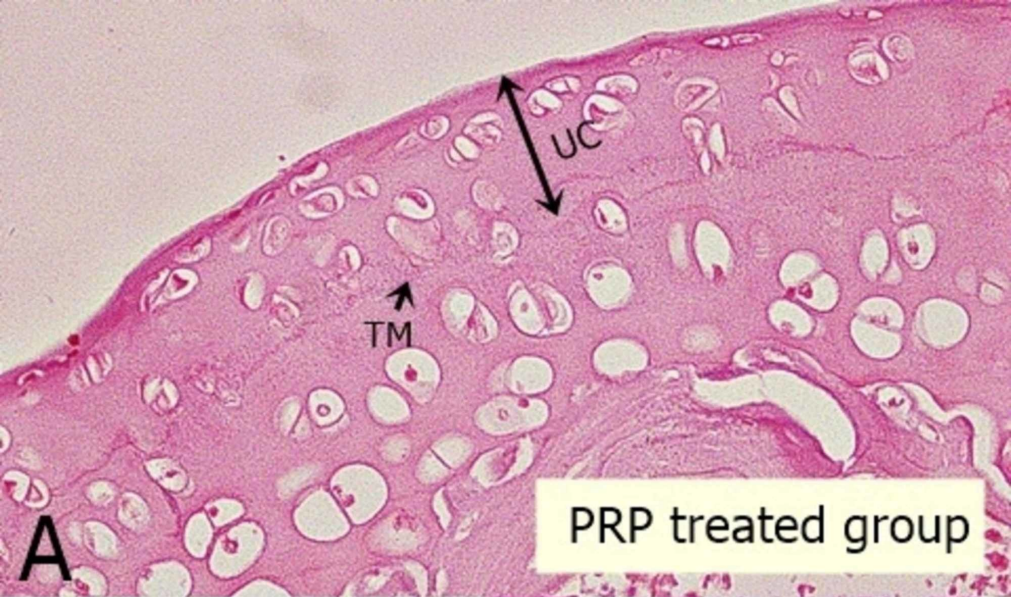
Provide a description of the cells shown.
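This is articular cartilage with many chondrocytes lying in lacunae within a homogeneous pink matrix. The free joint surface at the top is smooth and continuous, bordered by a thin, more deeply stained layer. Beneath it the cartilage forms a broad layer down to the tidemark. Deeper down, the cells are larger and more rounded, and at the lower right a cleft and a few red blood cells are seen.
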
